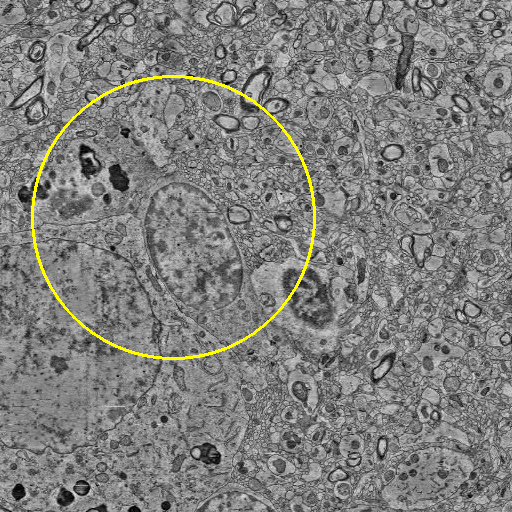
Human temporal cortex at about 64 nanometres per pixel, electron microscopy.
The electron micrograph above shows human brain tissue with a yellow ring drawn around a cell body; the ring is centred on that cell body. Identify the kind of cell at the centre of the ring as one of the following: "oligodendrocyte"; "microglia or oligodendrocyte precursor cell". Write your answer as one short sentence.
The cell at the centre of the ring is an oligodendrocyte.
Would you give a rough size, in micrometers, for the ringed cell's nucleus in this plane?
About 9 by 6 micrometres in this plane.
